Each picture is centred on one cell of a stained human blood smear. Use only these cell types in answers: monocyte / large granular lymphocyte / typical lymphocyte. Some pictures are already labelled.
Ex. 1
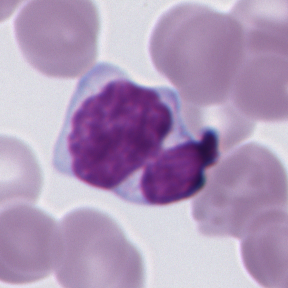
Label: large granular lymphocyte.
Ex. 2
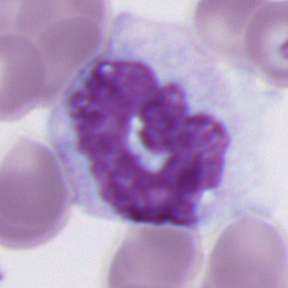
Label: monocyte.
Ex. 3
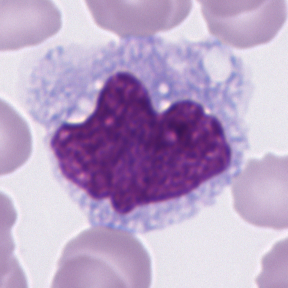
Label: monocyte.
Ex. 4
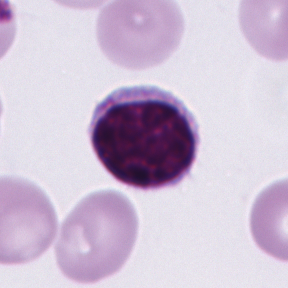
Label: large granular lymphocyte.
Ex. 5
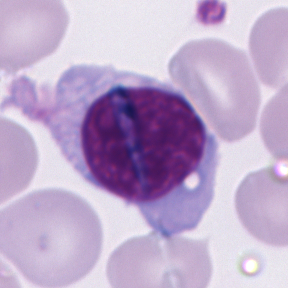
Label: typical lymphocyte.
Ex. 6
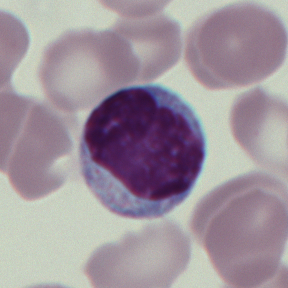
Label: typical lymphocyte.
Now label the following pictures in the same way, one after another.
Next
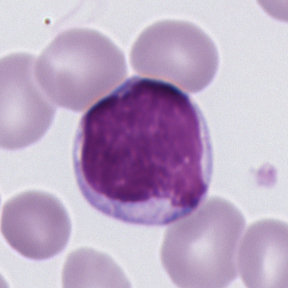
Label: large granular lymphocyte.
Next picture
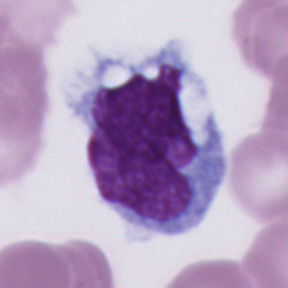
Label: monocyte.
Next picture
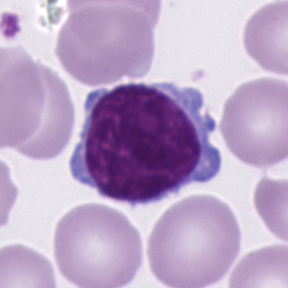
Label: typical lymphocyte.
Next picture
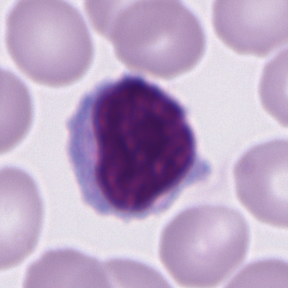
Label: typical lymphocyte.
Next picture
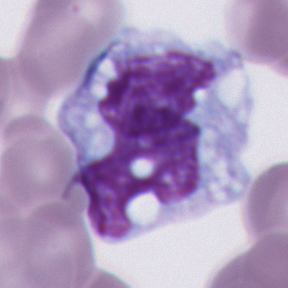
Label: monocyte.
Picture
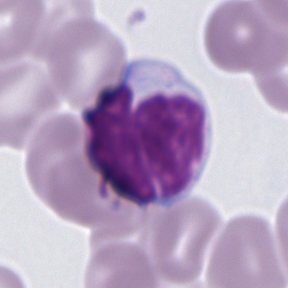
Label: large granular lymphocyte.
